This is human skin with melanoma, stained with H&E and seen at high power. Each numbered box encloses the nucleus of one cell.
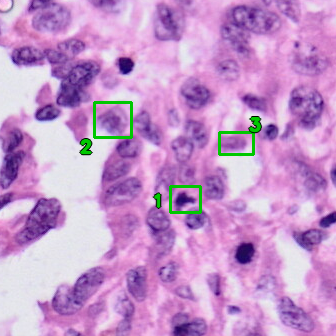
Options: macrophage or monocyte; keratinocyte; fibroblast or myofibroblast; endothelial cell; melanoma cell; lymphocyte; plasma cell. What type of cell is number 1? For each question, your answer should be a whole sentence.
Belonging to a lymphocyte is the nucleus that carries the number 1.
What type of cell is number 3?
The nucleus labeled 3 belongs to a melanoma cell.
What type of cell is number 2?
Identified as a melanoma cell is the cell bearing the number 2.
